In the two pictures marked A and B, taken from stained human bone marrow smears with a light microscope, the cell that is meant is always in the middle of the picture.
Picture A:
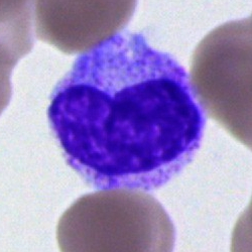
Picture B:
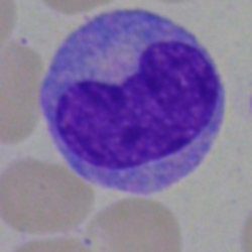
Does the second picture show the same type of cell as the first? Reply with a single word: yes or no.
no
